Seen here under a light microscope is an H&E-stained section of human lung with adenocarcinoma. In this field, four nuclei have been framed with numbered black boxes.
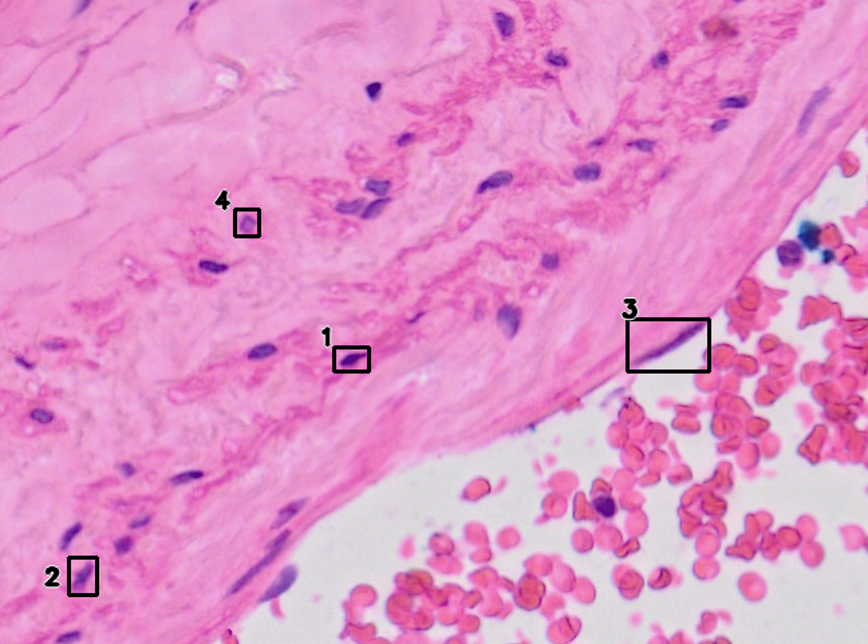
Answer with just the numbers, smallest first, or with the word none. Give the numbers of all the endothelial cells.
3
